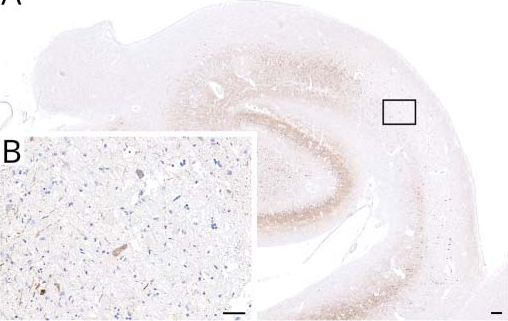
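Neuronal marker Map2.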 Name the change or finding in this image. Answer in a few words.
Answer: Hippocampal sclerosis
